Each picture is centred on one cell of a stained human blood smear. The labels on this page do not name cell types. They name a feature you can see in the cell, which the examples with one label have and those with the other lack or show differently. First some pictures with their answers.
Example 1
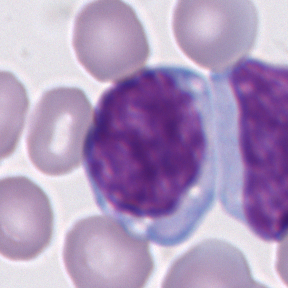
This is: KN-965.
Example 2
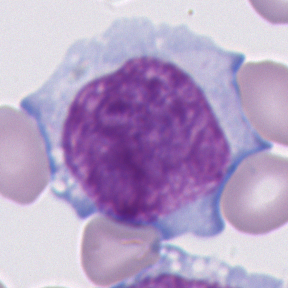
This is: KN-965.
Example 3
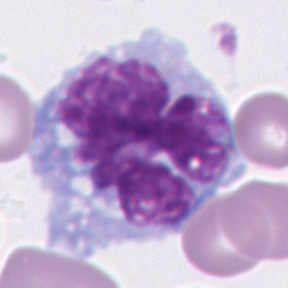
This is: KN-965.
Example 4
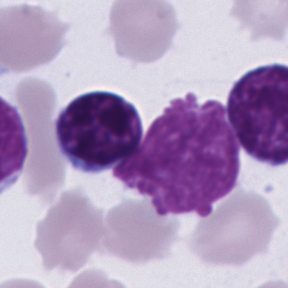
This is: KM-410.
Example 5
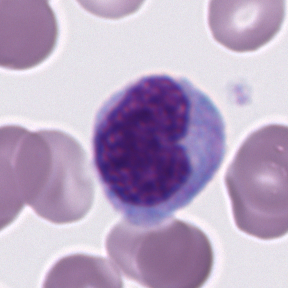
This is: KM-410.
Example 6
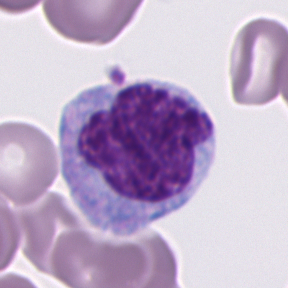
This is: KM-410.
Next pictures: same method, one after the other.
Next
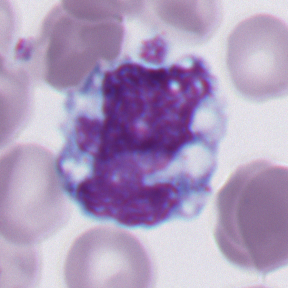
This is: KN-965.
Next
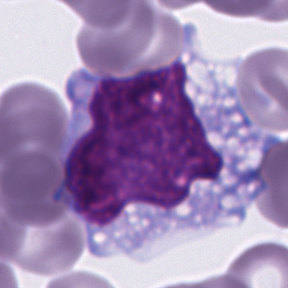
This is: KN-965.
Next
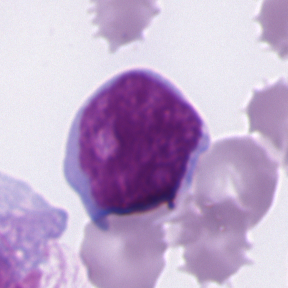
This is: KM-410.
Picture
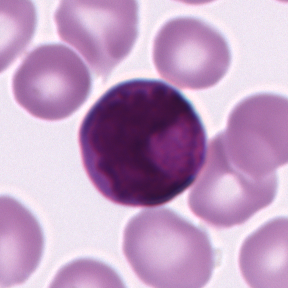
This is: KM-410.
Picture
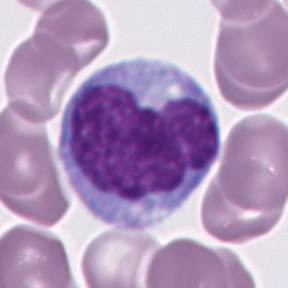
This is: KN-965.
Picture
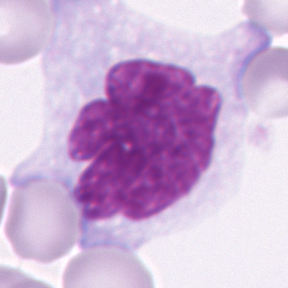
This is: KM-410.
